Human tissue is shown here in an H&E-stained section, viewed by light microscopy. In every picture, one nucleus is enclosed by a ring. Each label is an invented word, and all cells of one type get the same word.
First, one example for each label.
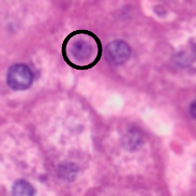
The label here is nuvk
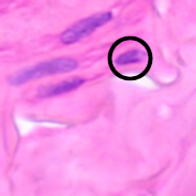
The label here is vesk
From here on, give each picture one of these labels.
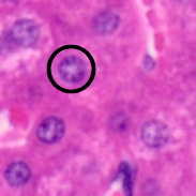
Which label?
nuvk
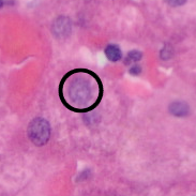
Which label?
nuvk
